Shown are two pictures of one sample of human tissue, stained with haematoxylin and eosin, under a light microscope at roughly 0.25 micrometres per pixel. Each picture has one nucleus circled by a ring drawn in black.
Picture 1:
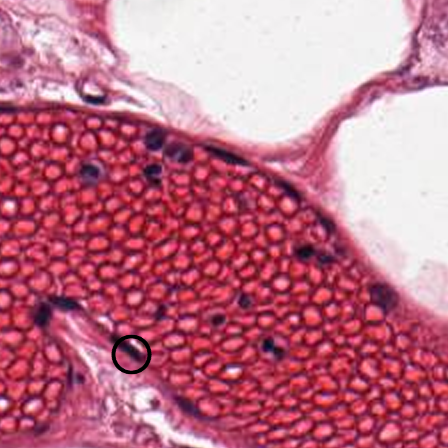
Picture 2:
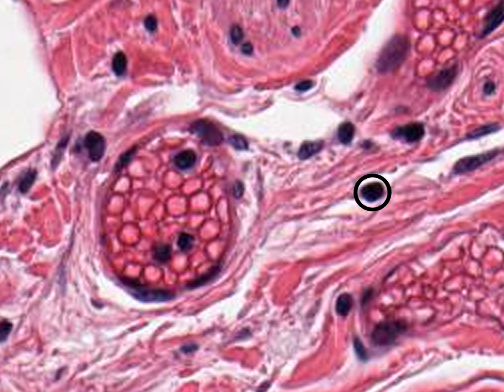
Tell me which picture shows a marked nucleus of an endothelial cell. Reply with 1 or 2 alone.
1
